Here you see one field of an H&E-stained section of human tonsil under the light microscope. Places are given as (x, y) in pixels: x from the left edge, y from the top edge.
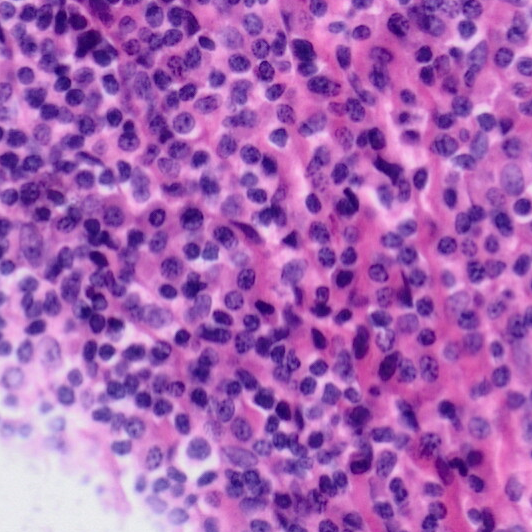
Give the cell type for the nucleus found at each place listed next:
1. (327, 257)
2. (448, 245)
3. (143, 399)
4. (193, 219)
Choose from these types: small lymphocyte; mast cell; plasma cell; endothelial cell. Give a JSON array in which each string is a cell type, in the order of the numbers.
["plasma cell", "plasma cell", "small lymphocyte", "plasma cell"]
